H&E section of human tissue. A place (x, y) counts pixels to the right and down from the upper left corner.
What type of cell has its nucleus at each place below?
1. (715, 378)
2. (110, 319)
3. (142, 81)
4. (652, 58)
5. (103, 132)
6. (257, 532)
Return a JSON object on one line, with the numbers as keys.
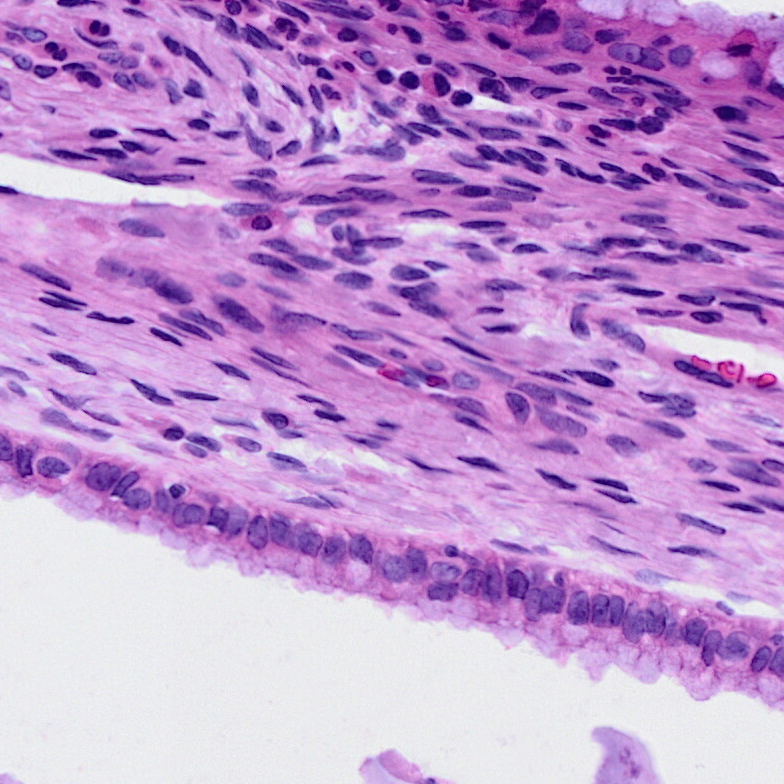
{"1": "endothelial cell", "2": "fibroblast", "3": "endothelial cell", "4": "secretory epithelial cell", "5": "lymphocyte", "6": "secretory epithelial cell"}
